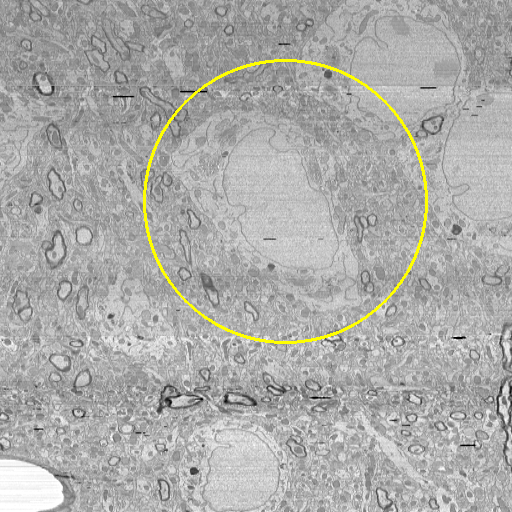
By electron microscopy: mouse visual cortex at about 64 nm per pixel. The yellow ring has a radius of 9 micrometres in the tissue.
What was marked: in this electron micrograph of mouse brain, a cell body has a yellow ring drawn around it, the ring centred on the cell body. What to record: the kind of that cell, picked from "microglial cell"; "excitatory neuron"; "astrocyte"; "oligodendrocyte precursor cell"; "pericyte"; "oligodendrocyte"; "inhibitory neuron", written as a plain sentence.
The centred cell is an excitatory neuron.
